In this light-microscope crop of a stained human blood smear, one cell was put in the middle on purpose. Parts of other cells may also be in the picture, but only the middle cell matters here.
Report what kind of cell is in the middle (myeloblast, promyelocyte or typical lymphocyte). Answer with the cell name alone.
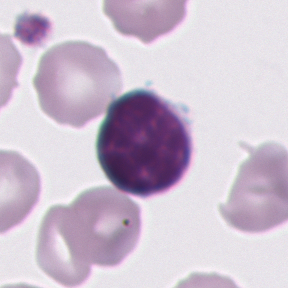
typical lymphocyte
